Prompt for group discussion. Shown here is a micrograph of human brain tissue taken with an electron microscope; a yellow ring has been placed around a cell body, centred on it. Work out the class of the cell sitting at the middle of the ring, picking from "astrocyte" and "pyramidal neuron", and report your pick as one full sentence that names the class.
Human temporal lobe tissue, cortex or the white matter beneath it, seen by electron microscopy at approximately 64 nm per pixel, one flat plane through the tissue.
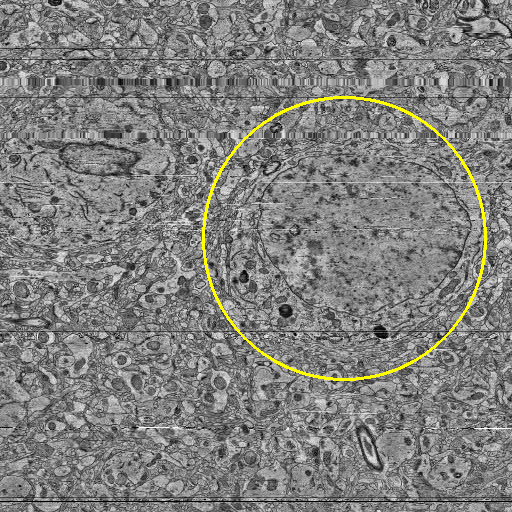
The cell sitting at the middle of the yellow ring is a pyramidal neuron.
